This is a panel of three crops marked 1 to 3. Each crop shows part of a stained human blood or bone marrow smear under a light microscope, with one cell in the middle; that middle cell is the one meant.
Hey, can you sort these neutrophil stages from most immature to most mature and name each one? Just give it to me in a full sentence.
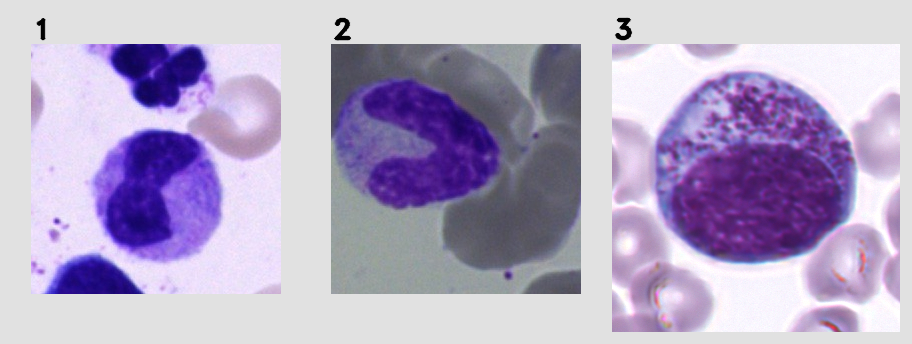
The order of the crops by rising maturity is crop 3 (a promyelocyte), crop 1 (a metamyelocyte) and crop 2 (a band neutrophil).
